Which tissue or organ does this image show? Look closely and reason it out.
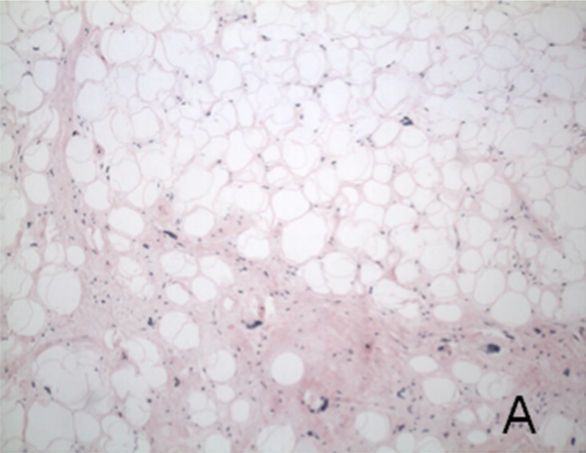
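Many clear round to polygonal empty spaces of varying size fill the field. Pink fibrous bands run between groups of these spaces. Scattered dark nuclei lie in the fibrous areas and between the spaces.
Adipose cells and fibrous strands.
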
